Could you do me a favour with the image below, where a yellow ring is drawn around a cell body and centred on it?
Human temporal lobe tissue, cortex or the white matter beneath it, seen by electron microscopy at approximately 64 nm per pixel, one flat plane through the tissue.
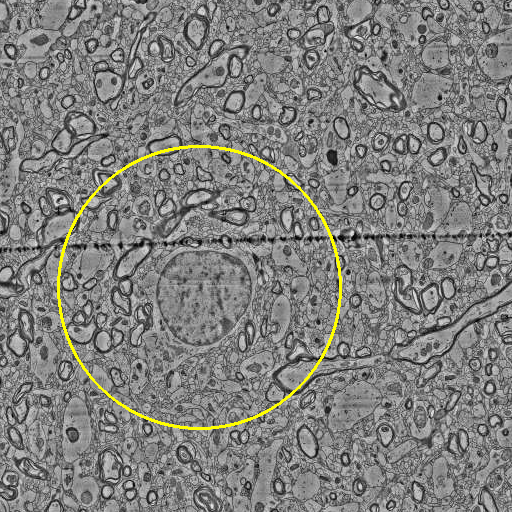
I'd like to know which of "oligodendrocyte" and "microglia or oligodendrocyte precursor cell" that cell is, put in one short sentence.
The cell at the ring's centre is a microglial cell or oligodendrocyte precursor cell.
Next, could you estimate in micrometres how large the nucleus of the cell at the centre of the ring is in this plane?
The nucleus appears about 6 micrometres across in this plane.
